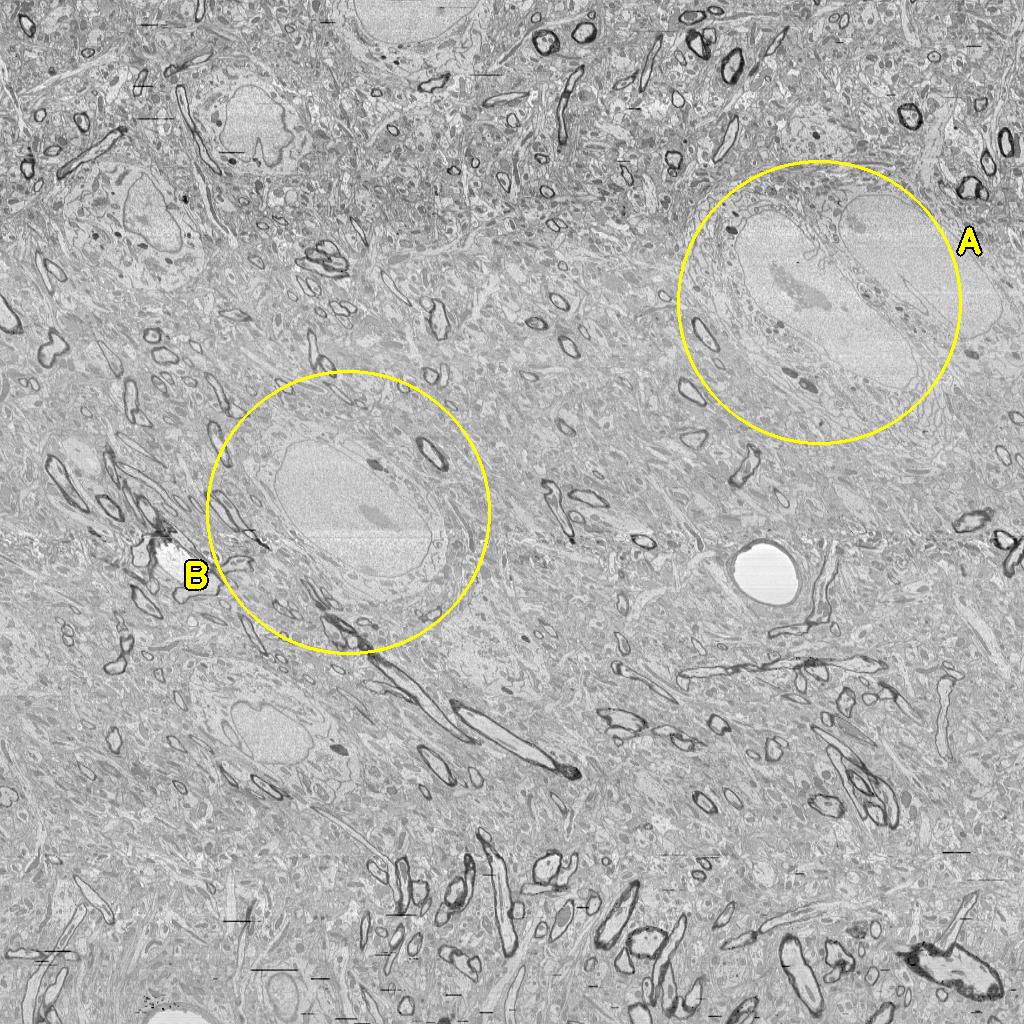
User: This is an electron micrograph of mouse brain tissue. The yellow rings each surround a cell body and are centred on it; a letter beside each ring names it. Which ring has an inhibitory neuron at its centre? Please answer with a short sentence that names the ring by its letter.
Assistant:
Ring A has it at its centre.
